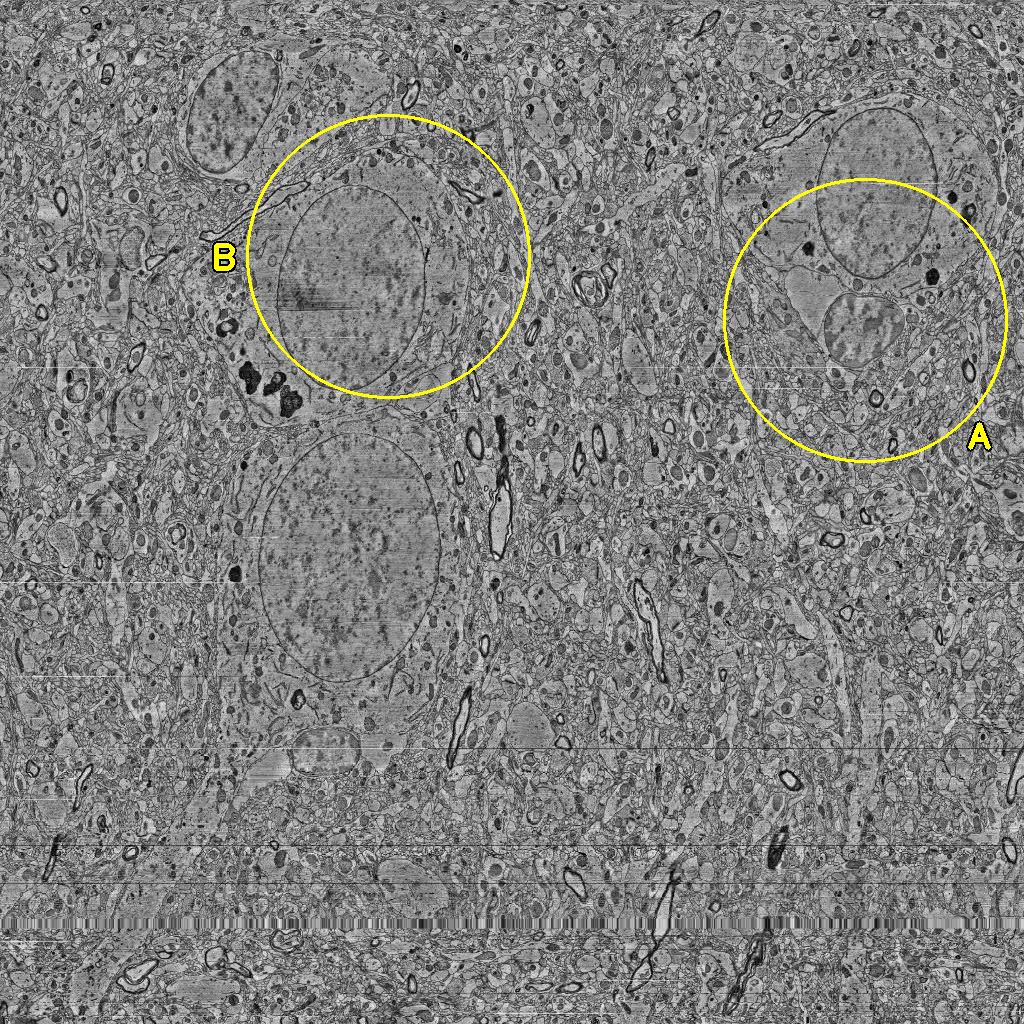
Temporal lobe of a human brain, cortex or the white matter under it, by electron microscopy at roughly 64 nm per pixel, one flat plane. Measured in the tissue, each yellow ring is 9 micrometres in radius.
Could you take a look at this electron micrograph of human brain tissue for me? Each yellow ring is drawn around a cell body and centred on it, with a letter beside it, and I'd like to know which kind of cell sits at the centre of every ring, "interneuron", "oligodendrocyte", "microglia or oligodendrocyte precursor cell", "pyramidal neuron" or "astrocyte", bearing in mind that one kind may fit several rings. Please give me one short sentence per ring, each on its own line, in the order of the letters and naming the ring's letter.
Ring A is centred on a microglial cell or oligodendrocyte precursor cell.
Ring B is centred on a pyramidal neuron.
